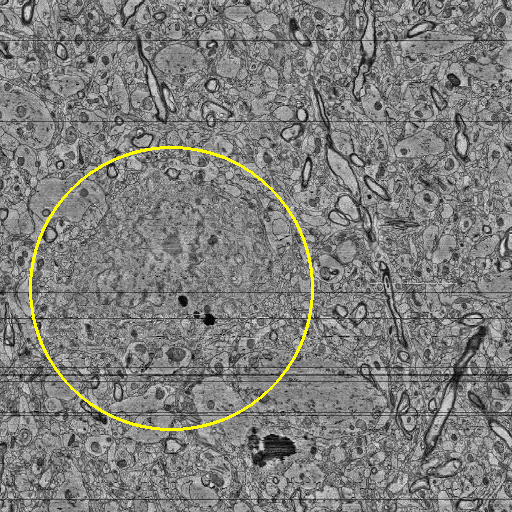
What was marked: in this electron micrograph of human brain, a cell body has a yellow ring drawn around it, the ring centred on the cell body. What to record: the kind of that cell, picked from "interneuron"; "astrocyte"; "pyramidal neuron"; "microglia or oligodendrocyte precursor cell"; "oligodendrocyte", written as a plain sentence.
The centred cell is an interneuron.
